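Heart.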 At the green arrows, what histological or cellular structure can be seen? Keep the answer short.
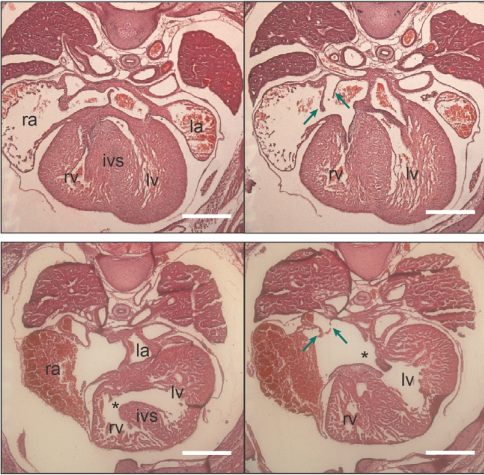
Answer: venous valves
